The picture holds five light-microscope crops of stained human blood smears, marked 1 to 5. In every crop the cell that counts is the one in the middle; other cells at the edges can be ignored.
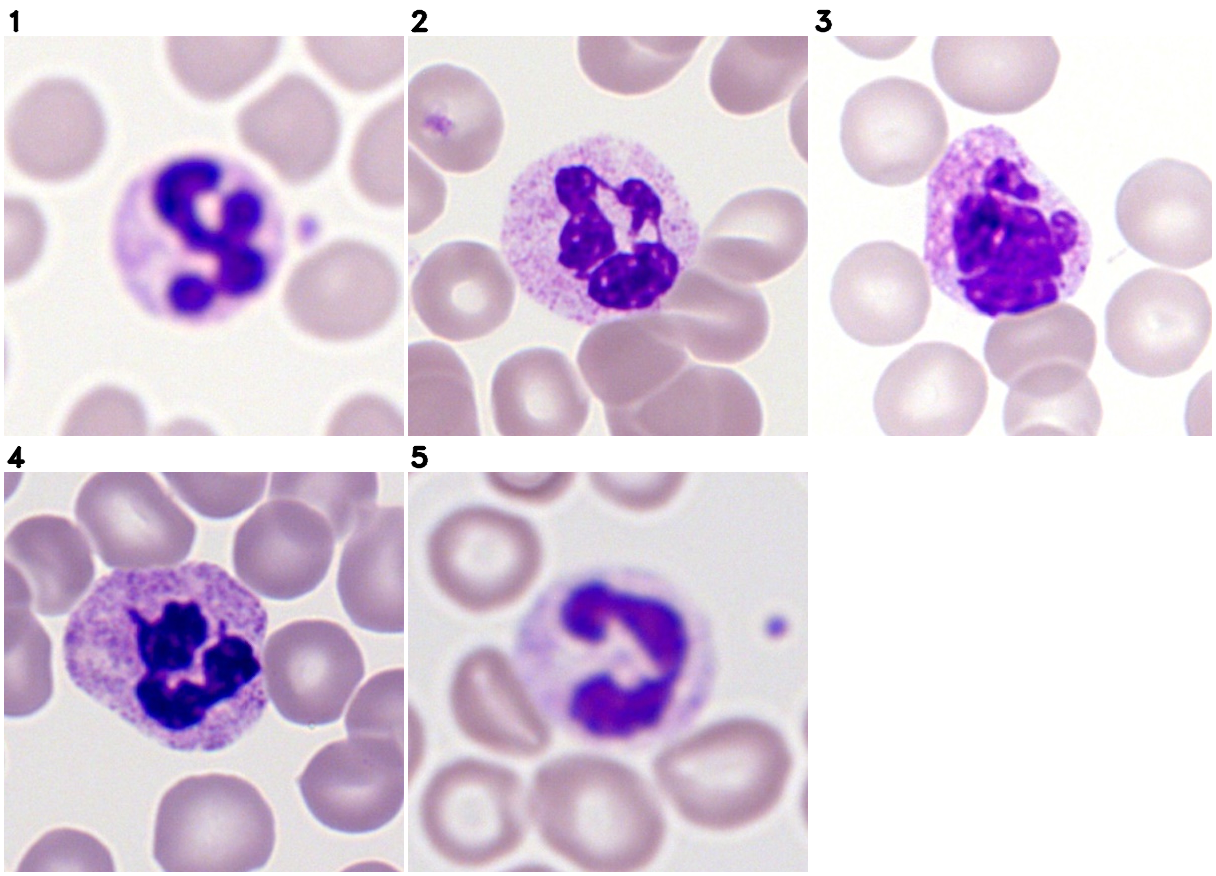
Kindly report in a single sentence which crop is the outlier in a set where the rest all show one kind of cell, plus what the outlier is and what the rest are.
Crop 3 is the sole crop with a basophil; the others all have neutrophils.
